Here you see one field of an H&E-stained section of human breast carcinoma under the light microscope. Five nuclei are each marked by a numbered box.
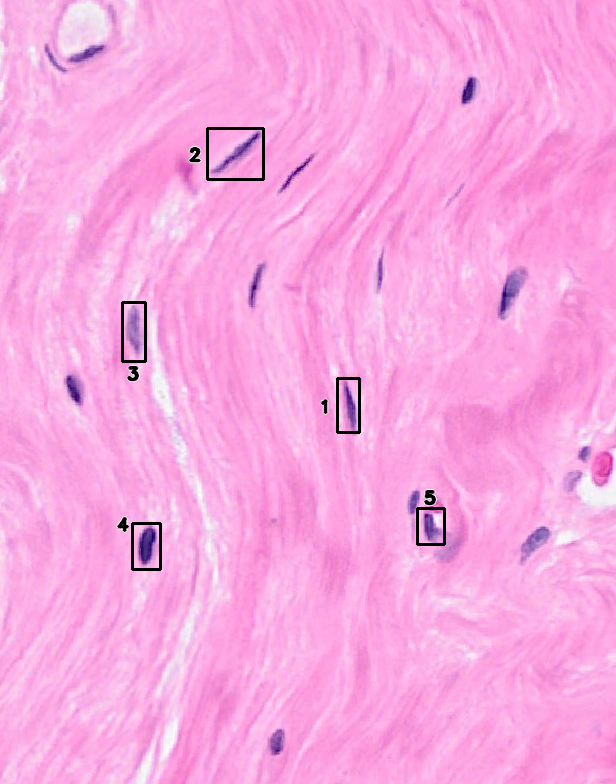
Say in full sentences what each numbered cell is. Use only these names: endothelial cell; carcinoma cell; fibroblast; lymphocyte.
Cell 1 is a fibroblast, cell 2 is a fibroblast, cell 3 is a fibroblast, cell 4 is a lymphocyte and cell 5 is an endothelial cell.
